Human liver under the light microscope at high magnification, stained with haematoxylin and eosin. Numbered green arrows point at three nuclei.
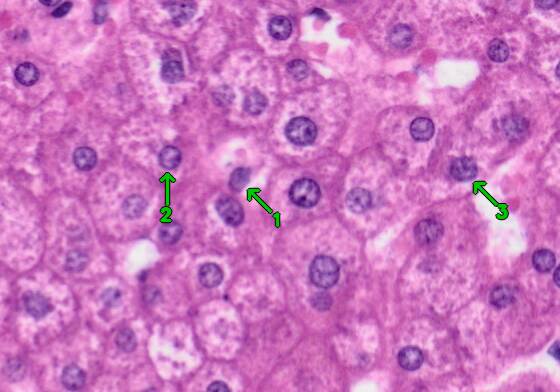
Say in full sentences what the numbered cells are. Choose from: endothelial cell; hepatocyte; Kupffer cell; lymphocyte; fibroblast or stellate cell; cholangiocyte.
Cell 1 is a Kupffer cell, cell 2 is a hepatocyte and cell 3 is a hepatocyte.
